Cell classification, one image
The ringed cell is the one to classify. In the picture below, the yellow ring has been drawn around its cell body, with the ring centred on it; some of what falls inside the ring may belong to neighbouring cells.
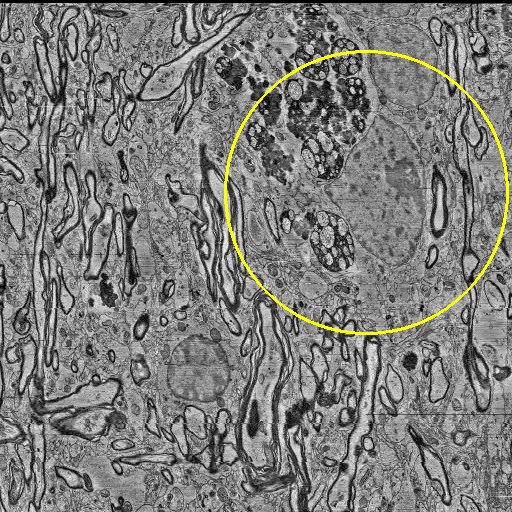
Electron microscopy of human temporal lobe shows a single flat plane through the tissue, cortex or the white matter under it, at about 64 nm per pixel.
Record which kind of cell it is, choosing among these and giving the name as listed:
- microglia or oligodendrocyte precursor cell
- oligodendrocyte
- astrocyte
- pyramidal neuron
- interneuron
astrocyte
